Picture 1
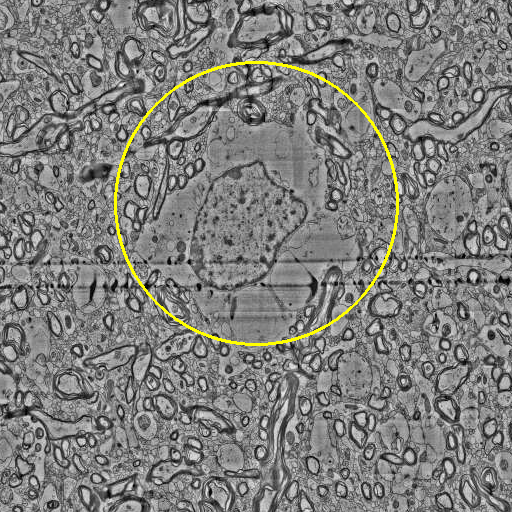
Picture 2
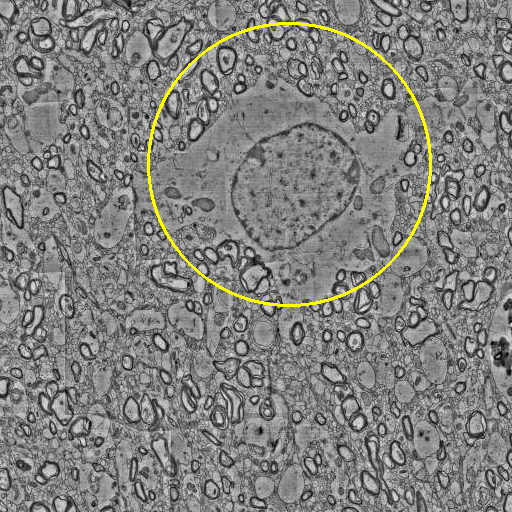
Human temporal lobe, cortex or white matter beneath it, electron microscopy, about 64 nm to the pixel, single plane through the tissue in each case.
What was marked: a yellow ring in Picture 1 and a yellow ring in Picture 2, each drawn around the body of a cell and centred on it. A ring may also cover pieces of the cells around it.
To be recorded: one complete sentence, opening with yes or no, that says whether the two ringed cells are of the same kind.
Yes, the two ringed cells are of the same kind.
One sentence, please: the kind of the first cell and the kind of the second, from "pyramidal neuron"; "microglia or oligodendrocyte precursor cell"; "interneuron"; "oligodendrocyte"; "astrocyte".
Each of the two cells is an astrocyte.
